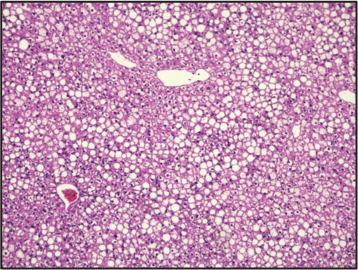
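Liver parenchyma stained with hematoxylin and eosin at low power. The hepatocyte sheets are crowded with numerous round, clear, unstained vacuoles of varying size, giving the tissue a bubbly appearance. Pink cytoplasm and purple nuclei remain between the vacuoles. A few open vessel lumina are scattered through the field, one containing red blood cells.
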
